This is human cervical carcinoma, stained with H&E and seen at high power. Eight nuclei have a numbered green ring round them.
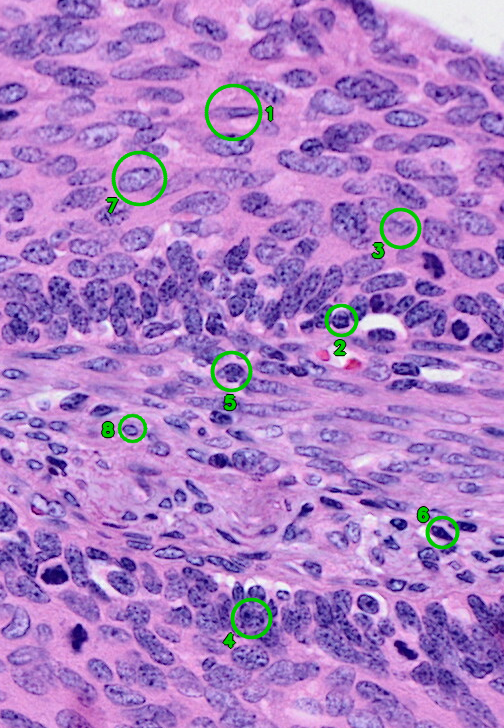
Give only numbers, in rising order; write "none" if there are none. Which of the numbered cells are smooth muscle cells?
8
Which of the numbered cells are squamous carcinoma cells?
1, 3, 4, 7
